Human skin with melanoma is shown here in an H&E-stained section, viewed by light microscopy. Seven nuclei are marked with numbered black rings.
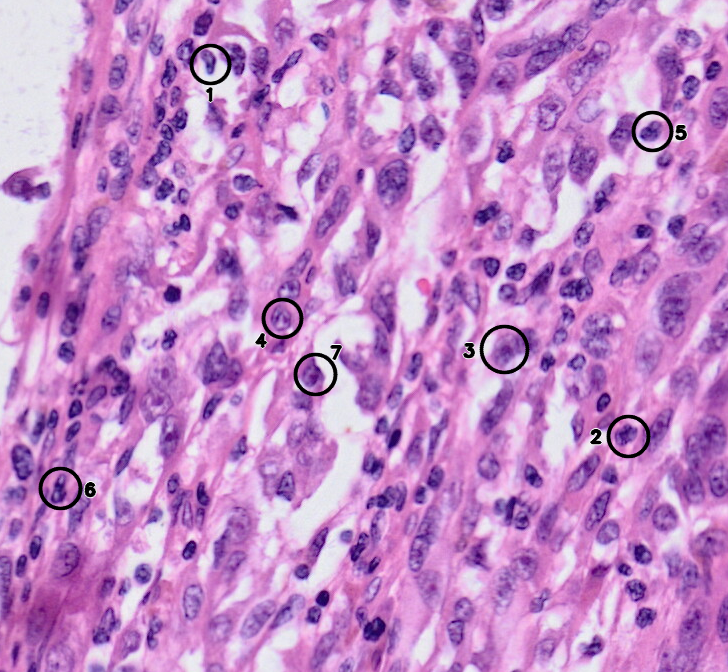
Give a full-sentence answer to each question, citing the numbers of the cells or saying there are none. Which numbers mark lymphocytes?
The cells carrying labels 1, 2, 5 and 6 are lymphocytes.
